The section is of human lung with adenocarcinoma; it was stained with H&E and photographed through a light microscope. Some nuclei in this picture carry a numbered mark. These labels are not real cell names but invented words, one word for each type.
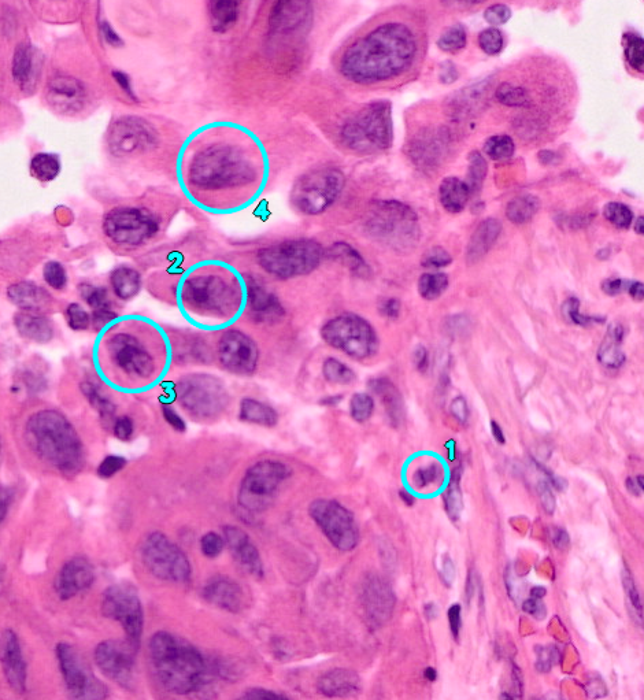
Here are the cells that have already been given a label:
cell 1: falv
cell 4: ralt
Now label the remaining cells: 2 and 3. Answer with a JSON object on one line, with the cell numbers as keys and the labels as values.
{"2": "ralt", "3": "ralt"}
